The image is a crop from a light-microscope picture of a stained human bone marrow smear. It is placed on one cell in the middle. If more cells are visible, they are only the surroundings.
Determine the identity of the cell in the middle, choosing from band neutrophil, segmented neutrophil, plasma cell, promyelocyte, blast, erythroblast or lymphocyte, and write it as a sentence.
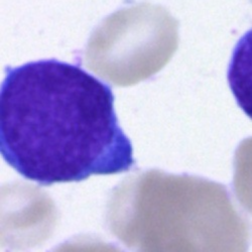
The crop centres on a single cell, and that cell is a blast.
